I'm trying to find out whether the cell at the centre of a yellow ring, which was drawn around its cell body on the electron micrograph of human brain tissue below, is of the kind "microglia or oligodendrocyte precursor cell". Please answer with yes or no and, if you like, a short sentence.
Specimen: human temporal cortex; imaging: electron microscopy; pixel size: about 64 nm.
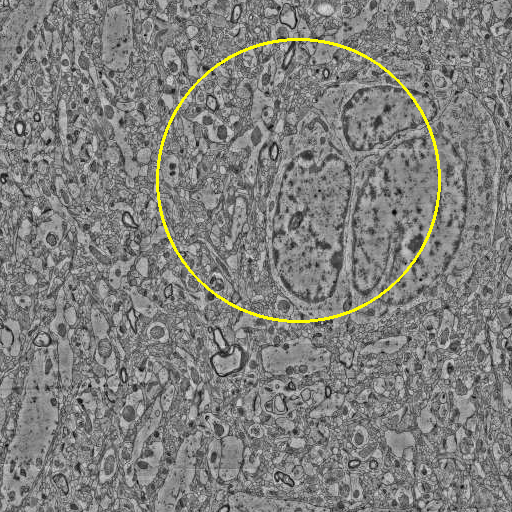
Yes, that cell is of the given kind.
